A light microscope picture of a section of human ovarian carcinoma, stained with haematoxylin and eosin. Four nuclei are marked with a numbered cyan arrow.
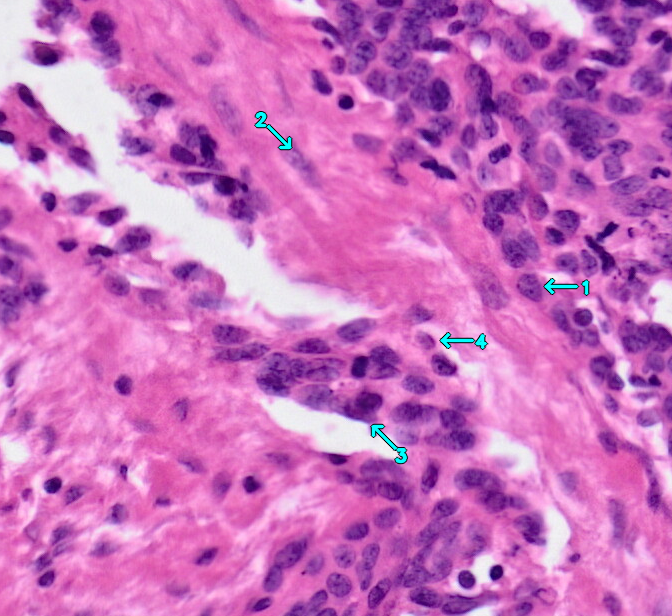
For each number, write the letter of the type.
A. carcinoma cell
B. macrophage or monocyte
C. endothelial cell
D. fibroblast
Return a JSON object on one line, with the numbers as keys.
{"1": "A", "2": "D", "3": "A", "4": "B"}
